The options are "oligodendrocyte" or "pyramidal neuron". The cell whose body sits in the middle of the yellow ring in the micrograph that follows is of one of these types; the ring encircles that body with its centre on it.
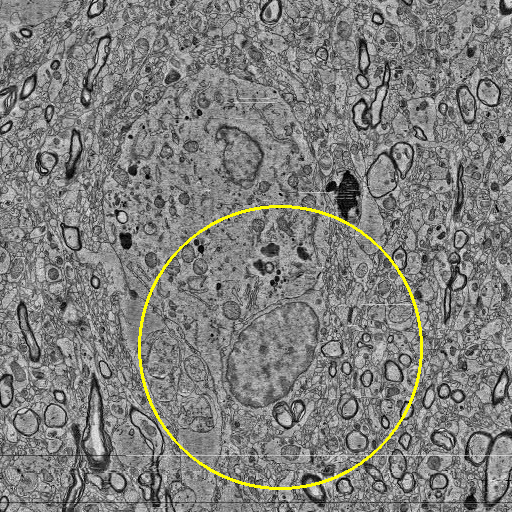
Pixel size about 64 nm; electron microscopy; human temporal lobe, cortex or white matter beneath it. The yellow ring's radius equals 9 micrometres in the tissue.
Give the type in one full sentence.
Going by the micrograph, the cell centred in the yellow ring is an oligodendrocyte.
